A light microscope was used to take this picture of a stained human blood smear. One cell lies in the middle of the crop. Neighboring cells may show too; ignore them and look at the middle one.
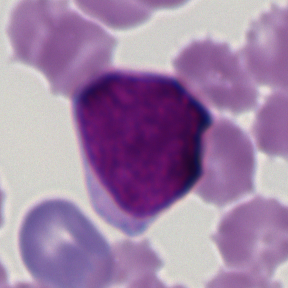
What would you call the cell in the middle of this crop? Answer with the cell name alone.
blast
